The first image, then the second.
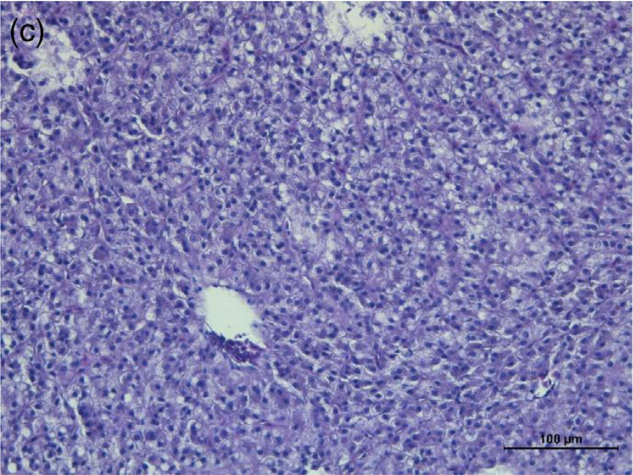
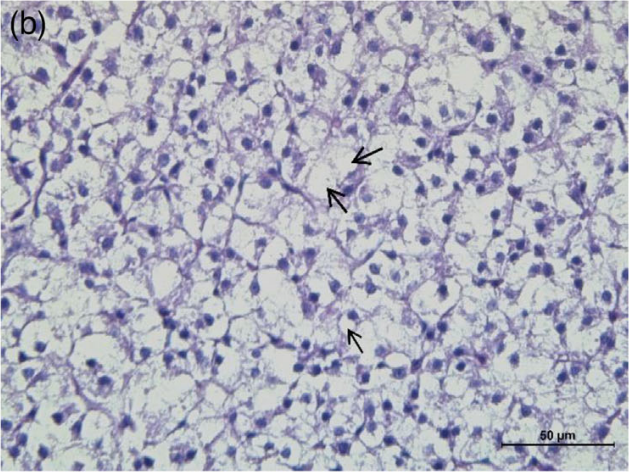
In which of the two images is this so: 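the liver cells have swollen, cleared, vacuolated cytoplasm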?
the second image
